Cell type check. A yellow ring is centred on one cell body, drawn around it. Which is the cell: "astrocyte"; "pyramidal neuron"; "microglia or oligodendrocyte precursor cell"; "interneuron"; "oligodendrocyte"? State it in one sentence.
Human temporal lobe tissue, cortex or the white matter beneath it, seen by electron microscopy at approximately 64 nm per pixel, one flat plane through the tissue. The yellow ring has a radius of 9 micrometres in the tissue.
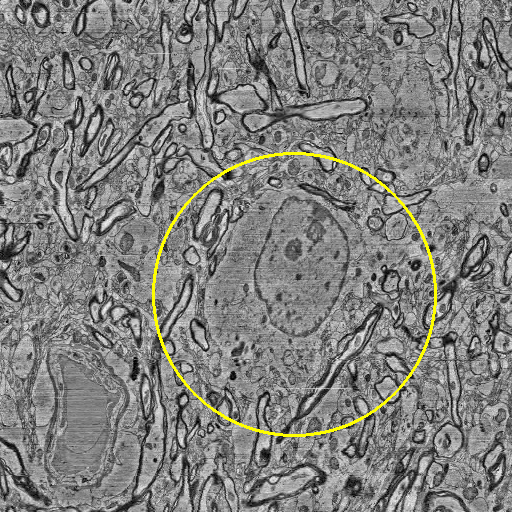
The cell body at the ring's centre belongs to an astrocyte.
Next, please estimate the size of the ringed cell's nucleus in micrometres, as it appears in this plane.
Approximately 9 by 6 micrometers in this plane.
